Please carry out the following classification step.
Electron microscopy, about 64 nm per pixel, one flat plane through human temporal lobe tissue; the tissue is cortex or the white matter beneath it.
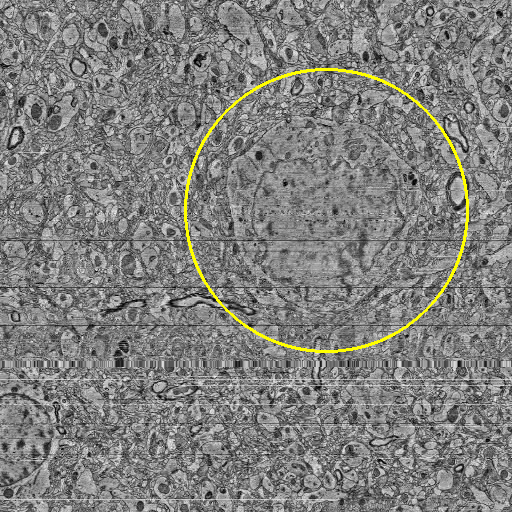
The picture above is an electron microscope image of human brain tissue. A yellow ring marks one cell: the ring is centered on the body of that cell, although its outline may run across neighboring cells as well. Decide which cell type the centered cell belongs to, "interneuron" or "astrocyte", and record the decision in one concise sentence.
The cell centered in the yellow ring is an interneuron.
